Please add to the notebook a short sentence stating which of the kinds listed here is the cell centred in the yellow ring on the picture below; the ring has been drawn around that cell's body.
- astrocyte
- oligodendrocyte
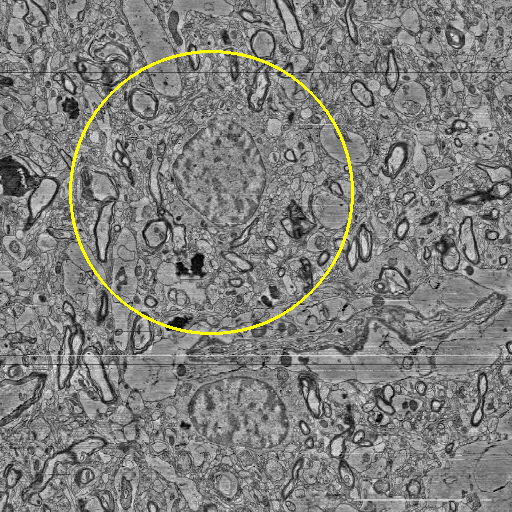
The cell centred in the yellow ring is an oligodendrocyte.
